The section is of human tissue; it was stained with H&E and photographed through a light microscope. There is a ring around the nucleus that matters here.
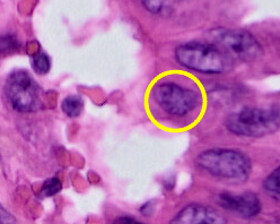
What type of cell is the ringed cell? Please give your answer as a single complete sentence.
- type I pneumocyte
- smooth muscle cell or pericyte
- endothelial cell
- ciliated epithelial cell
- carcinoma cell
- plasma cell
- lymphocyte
Right, so the ringed cell is a carcinoma cell, to answer that.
